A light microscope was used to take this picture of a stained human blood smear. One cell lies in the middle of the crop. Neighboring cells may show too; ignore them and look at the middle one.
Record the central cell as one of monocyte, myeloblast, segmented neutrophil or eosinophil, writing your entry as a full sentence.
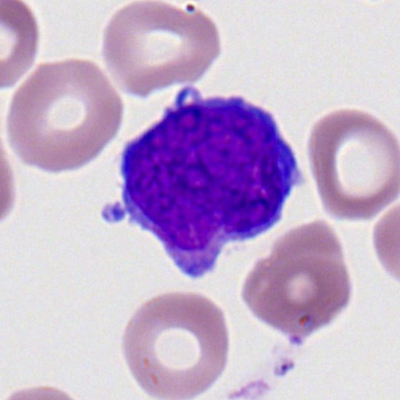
The central cell, amid any neighbouring cells, is a myeloblast.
